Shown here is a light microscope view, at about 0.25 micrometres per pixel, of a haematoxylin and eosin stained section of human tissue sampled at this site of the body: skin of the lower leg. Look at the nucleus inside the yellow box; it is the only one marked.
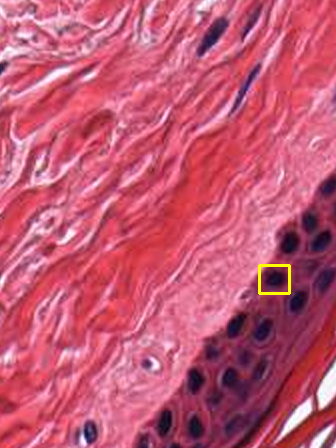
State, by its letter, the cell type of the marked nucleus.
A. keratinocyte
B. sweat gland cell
A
